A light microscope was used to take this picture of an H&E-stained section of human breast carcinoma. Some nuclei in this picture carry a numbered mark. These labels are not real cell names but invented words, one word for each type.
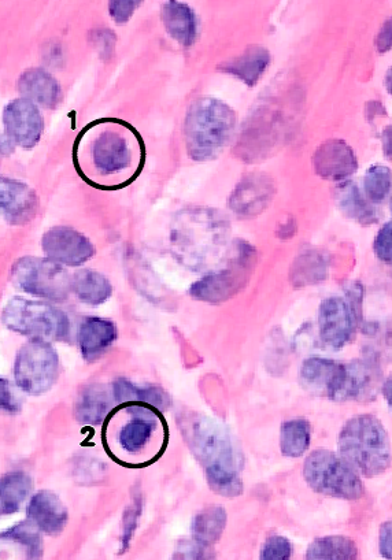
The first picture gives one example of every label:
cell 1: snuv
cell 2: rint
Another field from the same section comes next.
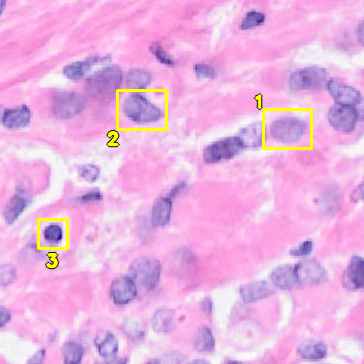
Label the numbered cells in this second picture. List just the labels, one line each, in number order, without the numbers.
snuv
snuv
rint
